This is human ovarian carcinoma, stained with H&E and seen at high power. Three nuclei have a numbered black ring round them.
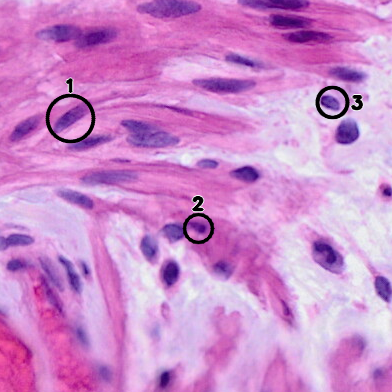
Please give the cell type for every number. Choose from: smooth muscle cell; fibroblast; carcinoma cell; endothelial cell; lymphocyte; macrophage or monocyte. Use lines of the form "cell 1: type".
cell 1: smooth muscle cell
cell 2: smooth muscle cell
cell 3: lymphocyte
